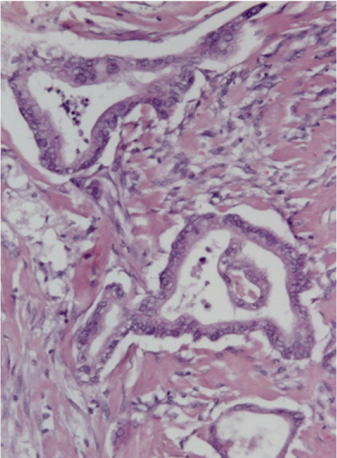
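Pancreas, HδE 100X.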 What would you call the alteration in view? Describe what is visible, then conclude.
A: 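Irregular, angulated glands lined by cuboidal to columnar epithelium. Glands lie haphazardly within a fibrous stroma rather than in lobules. Some gland lumina contain debris and detached cells.
Answer: ductal pancreatic adenocarcinoma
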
